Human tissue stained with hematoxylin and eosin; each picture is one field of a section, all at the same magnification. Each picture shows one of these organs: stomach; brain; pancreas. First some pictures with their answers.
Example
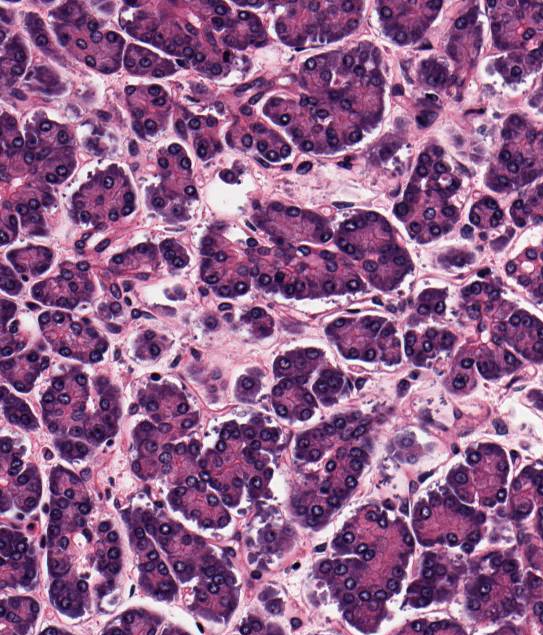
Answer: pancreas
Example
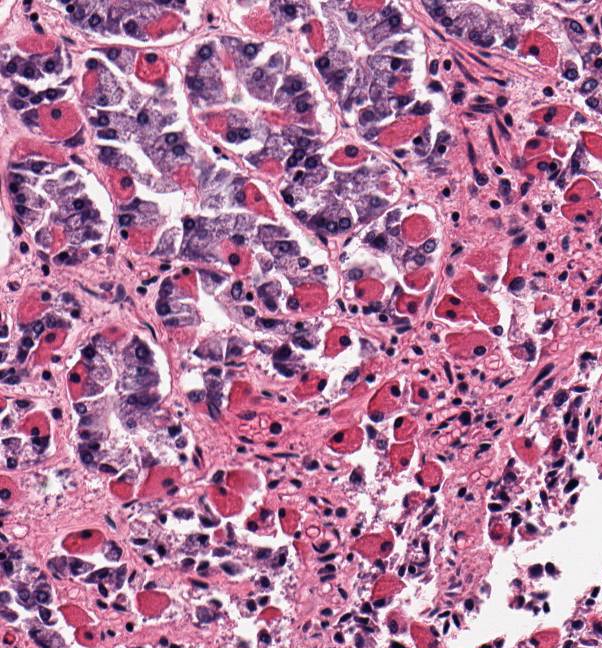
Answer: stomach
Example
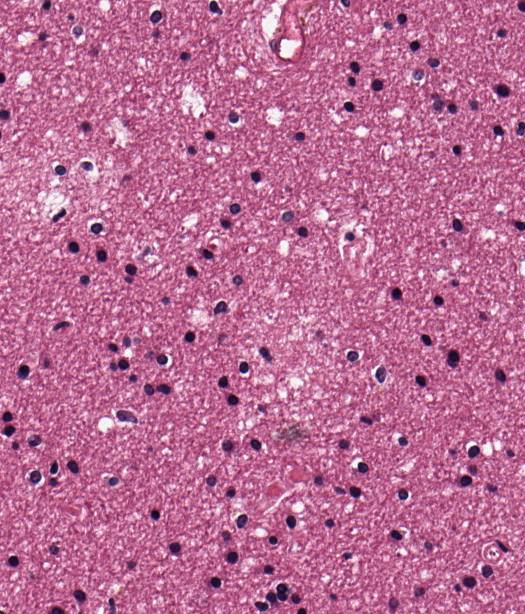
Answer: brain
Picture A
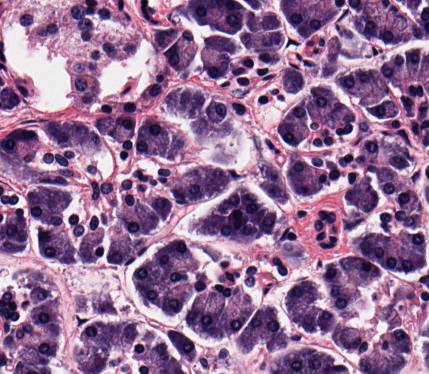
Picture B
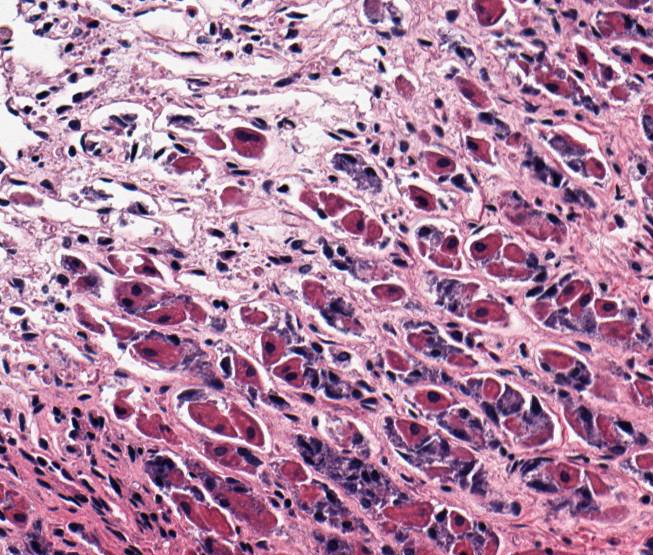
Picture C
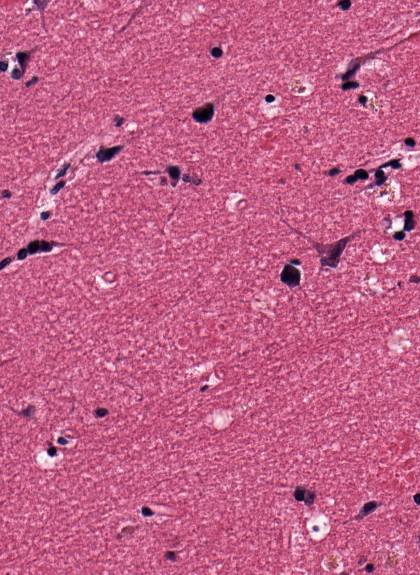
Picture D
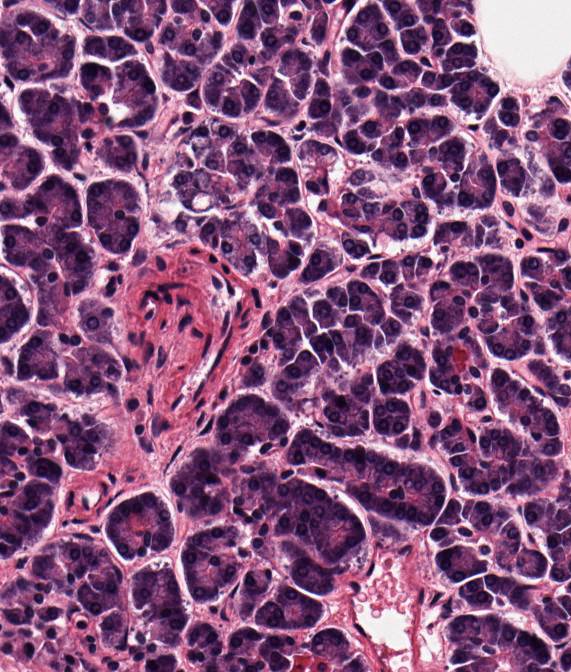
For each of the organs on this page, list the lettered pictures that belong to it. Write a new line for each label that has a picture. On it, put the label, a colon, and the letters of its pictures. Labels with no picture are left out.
stomach: B
brain: C
pancreas: A, D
